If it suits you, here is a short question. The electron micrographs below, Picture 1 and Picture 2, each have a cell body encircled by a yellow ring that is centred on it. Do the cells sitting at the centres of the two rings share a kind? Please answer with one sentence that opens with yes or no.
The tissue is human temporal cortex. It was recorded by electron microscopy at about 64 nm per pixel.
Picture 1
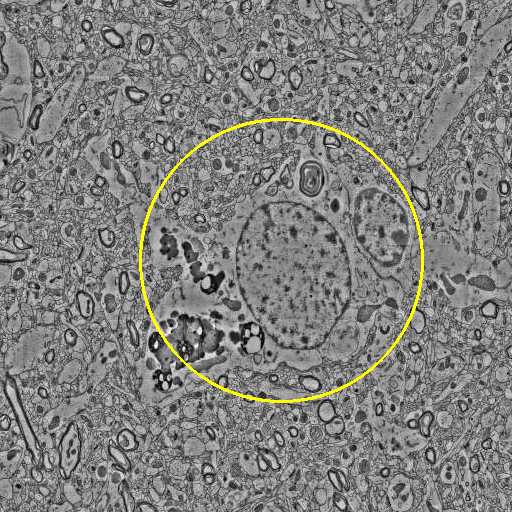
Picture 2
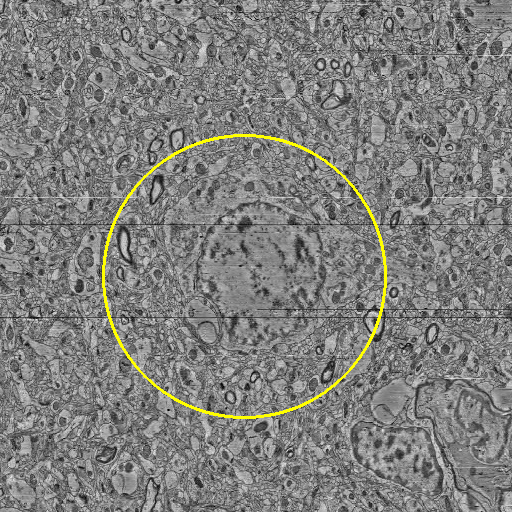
No, the two cells sitting at the ring centres fall into two kinds.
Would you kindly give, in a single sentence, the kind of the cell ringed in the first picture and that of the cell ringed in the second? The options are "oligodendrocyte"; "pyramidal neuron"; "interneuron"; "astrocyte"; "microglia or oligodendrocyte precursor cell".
The second cell is an interneuron, and the first cell is an astrocyte.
